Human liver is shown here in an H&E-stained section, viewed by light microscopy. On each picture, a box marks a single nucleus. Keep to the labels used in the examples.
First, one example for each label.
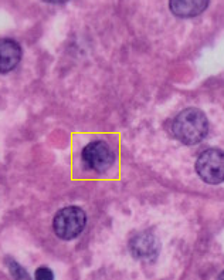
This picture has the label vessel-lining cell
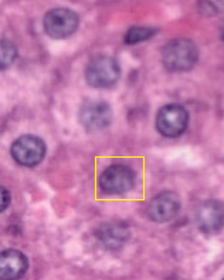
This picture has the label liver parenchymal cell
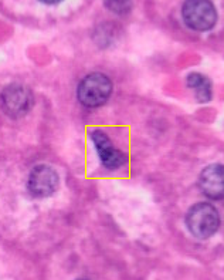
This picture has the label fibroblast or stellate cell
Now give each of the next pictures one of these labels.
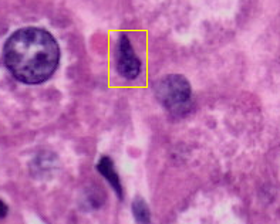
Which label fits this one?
fibroblast or stellate cell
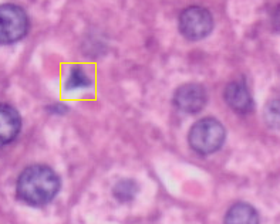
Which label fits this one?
vessel-lining cell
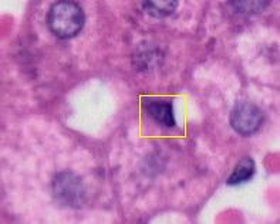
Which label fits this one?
fibroblast or stellate cell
